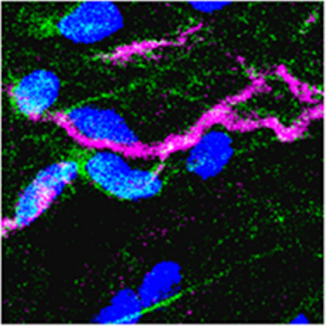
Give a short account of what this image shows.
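Along parts of these bands green and magenta coincide, giving a whitish appearance. Oval blue nuclei are scattered through the field, several clustered at the left side, and some of them are surrounded by green, finely granular cytoplasm. Fine green threads and puncta are spread throughout the background between the nuclei.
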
